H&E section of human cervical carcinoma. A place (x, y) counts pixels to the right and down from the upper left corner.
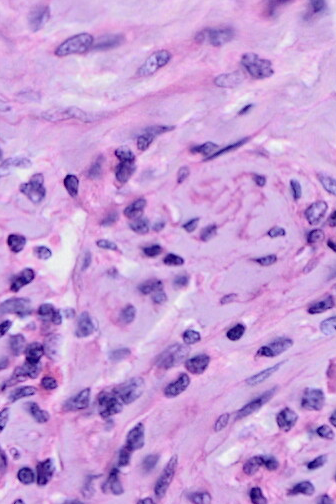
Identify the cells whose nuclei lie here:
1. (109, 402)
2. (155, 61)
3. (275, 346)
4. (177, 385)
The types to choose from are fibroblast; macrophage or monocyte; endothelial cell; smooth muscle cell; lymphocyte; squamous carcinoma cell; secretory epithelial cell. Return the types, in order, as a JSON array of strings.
["lymphocyte", "smooth muscle cell", "fibroblast", "lymphocyte"]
